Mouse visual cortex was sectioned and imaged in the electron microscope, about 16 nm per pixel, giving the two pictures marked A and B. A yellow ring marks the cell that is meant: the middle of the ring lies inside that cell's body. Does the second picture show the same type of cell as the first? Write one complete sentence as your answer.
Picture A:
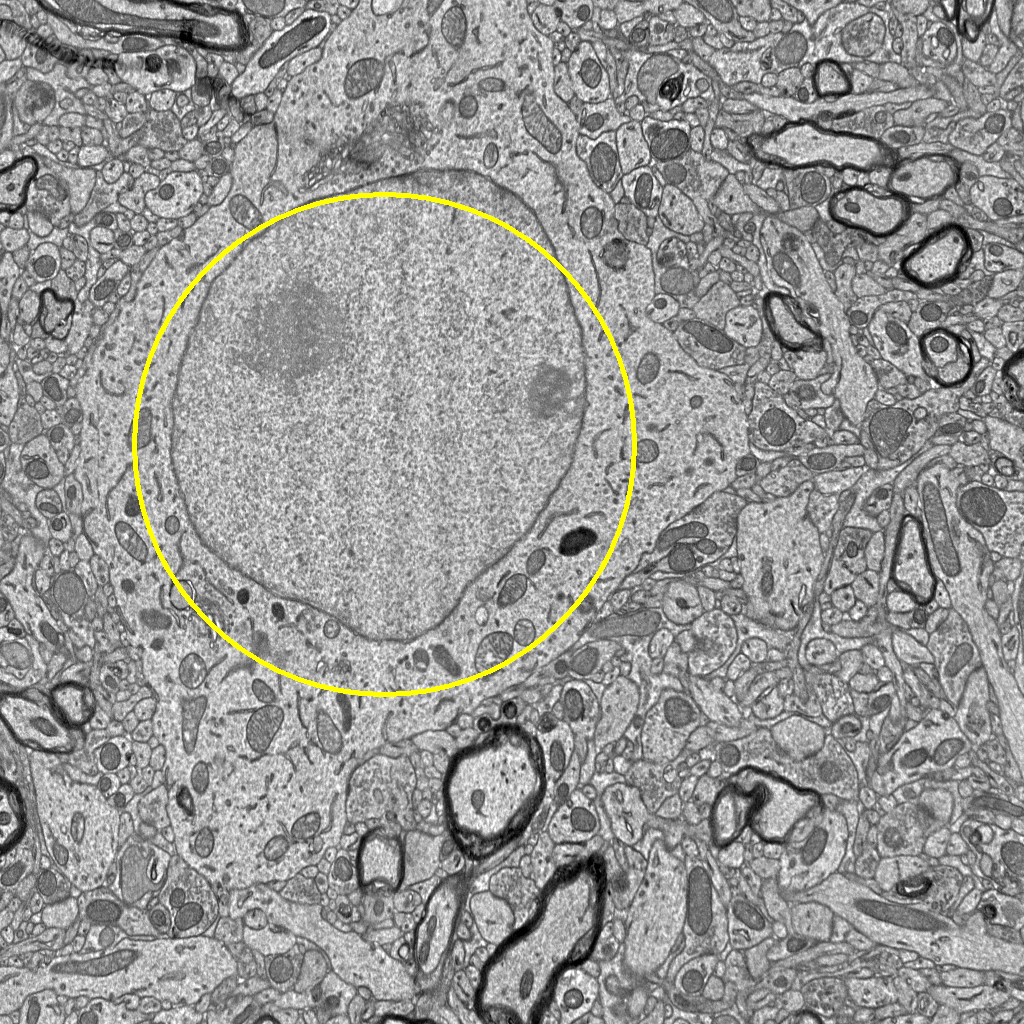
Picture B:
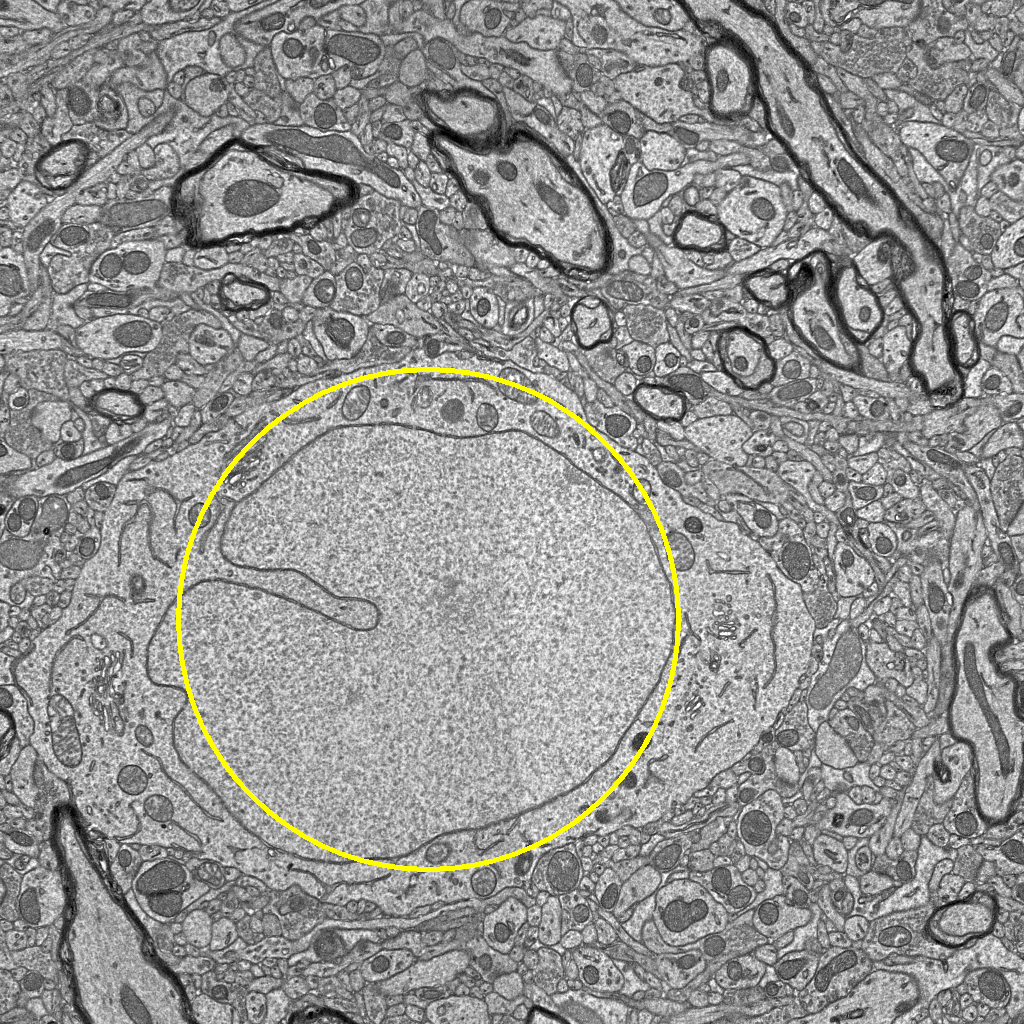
Yes; the cells in both pictures are excitatory neurons.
